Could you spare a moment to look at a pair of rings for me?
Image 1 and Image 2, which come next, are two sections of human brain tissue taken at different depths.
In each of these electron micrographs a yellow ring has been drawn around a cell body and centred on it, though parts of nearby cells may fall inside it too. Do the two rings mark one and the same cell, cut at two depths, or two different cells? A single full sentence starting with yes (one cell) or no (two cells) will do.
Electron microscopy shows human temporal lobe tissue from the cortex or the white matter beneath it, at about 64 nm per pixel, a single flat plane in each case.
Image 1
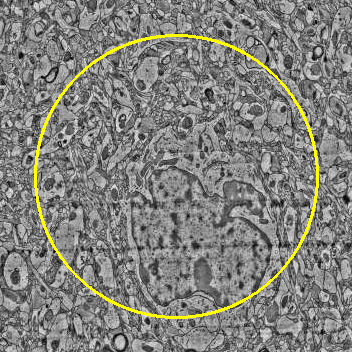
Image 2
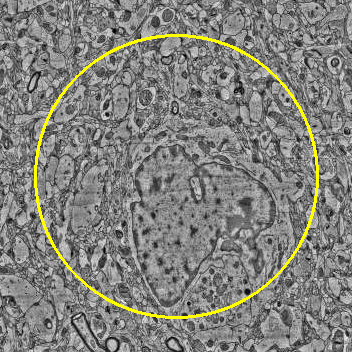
Yes, the same individual cell is enclosed by both rings.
